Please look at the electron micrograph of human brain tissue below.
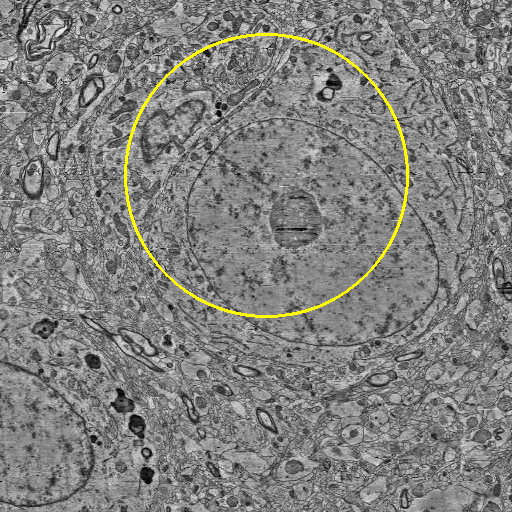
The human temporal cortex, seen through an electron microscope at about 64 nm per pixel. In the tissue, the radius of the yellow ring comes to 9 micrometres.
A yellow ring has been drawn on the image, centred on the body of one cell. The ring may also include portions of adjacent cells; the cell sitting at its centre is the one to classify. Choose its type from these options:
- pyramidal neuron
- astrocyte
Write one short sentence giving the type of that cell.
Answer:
The cell in the middle of the ring is a pyramidal neuron.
